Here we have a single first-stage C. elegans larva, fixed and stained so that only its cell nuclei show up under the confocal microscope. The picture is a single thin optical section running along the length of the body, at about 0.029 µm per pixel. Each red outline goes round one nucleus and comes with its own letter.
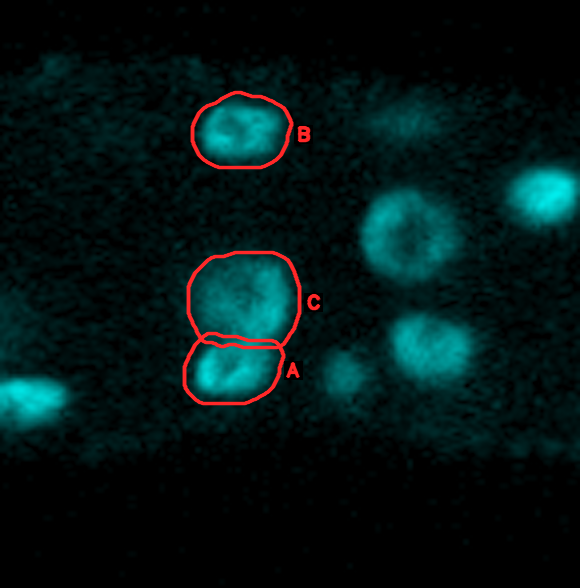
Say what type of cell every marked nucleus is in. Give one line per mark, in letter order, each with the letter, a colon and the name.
A: body wall muscle cell
B: body wall muscle cell
C: seam cell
